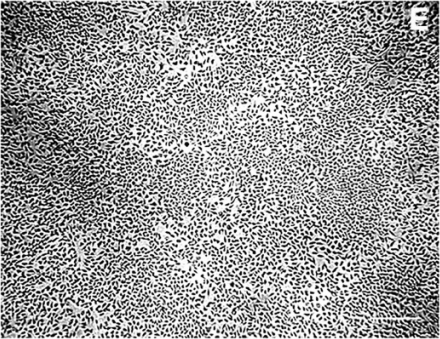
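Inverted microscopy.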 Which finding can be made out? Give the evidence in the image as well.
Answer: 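Cell confluence. Cells cover the whole field with little free space. The cells look alike in size and shape throughout.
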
